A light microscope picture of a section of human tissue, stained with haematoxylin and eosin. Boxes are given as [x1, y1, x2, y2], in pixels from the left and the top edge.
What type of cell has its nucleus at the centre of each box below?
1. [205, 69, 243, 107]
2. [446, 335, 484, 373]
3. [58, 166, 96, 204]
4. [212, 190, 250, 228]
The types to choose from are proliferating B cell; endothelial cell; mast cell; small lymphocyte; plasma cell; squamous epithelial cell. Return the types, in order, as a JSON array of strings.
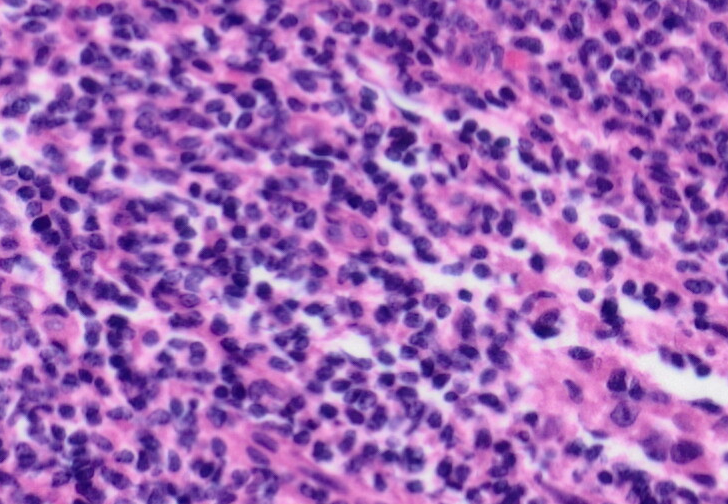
["small lymphocyte", "proliferating B cell", "small lymphocyte", "small lymphocyte"]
